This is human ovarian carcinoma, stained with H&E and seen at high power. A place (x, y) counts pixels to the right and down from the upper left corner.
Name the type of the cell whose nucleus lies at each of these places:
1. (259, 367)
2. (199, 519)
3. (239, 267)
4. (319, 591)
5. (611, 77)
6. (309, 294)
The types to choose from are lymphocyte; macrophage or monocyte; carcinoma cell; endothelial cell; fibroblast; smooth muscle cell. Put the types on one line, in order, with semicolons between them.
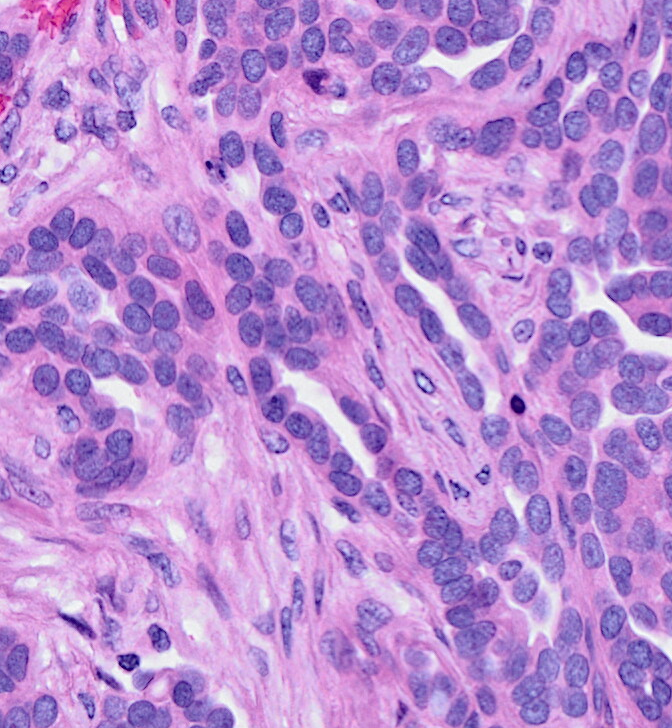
carcinoma cell; fibroblast; carcinoma cell; fibroblast; carcinoma cell; carcinoma cell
